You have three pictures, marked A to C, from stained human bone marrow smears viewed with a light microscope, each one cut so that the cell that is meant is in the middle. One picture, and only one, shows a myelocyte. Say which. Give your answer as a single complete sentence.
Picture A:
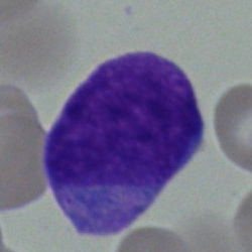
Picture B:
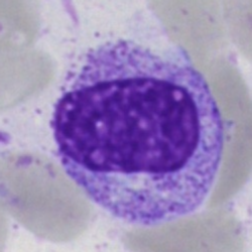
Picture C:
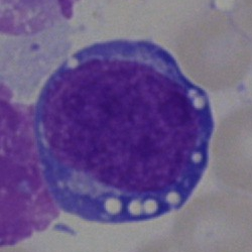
Picture B is the one that shows the myelocyte.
